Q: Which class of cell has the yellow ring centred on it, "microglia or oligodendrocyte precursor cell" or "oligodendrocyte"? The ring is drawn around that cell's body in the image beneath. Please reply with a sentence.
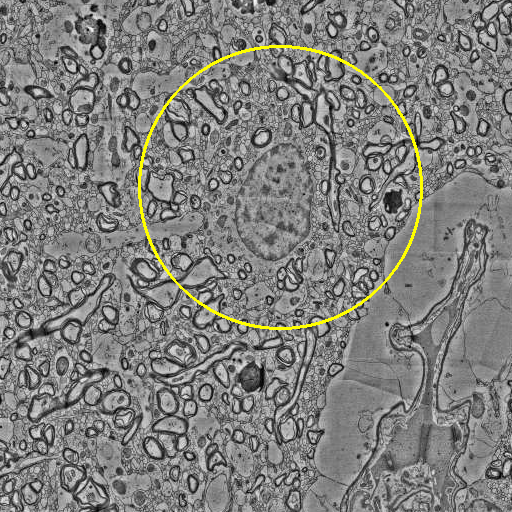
It is centred on an oligodendrocyte.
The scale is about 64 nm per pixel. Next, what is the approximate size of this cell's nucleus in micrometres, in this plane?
The nucleus comes to approximately 7 by 5 micrometres and is clearly longer than it is wide in this plane.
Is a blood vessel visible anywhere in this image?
Yes, one appears.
